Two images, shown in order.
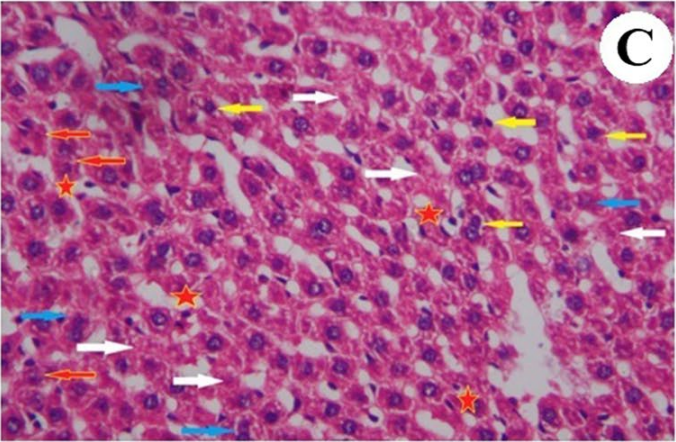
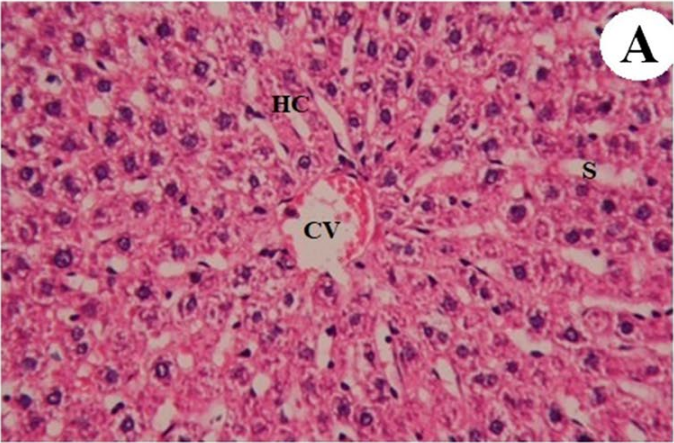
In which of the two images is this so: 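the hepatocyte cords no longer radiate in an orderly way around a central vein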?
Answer: The first image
